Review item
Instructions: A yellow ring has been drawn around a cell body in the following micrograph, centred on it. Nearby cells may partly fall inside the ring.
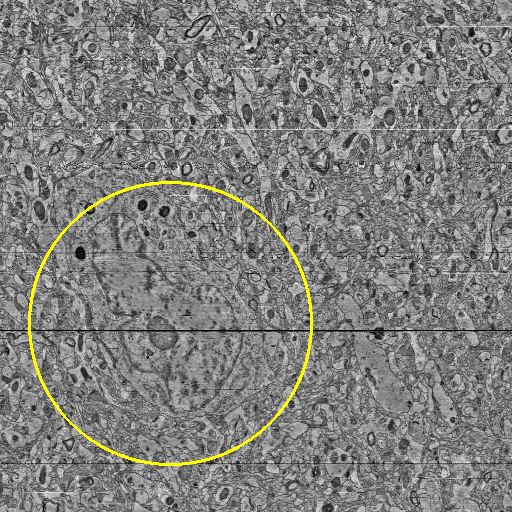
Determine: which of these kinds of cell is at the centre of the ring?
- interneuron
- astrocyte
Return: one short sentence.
The cell body in the middle of the ring is that of an interneuron.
